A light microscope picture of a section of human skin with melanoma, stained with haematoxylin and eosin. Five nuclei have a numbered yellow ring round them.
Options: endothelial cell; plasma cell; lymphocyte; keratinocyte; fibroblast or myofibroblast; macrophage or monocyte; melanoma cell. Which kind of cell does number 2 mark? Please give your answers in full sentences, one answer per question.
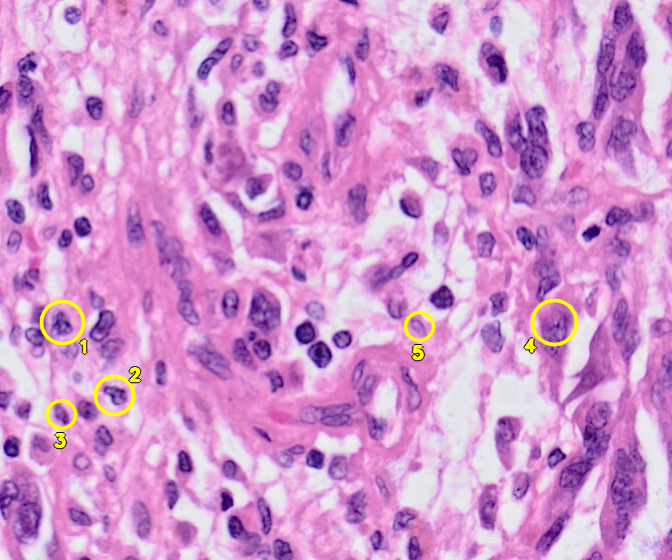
Belonging to a lymphocyte is the nucleus that carries the number 2.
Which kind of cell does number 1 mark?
The cell that bears the number 1 is a lymphocyte.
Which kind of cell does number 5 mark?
Within this field of view, the cell labelled 5 is a macrophage or monocyte.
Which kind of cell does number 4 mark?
The label 4 in this section denotes a melanoma cell.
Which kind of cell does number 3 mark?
Identified as a macrophage or monocyte is the cell bearing the number 3.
